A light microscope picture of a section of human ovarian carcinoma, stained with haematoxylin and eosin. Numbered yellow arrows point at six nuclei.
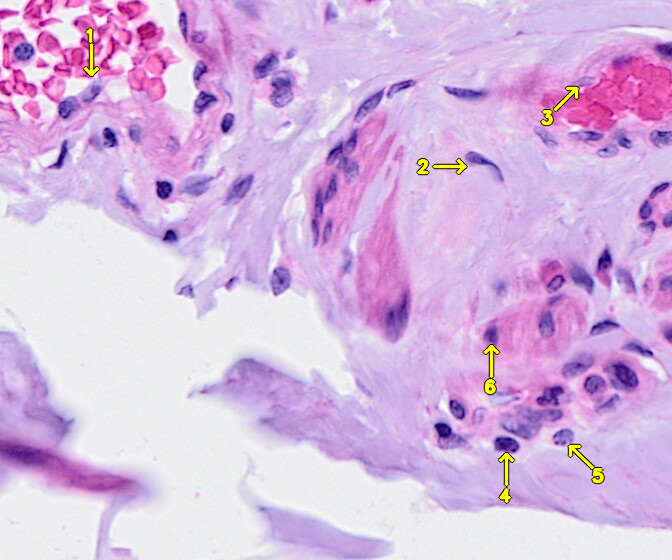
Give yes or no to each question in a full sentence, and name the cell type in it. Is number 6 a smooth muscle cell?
Yes, the cell carrying number 6 is a smooth muscle cell.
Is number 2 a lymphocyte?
No, cell 2 does not represent a lymphocyte; it represents a fibroblast.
